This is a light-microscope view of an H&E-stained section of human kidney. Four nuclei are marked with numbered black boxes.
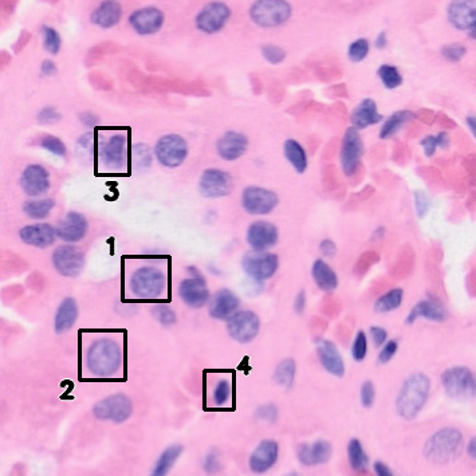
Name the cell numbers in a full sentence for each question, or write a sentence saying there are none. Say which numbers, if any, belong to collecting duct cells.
The cells with labels 1 and 3 are collecting duct cells.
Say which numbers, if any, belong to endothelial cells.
With the exception of cell 4, no marked cell is an endothelial cell.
